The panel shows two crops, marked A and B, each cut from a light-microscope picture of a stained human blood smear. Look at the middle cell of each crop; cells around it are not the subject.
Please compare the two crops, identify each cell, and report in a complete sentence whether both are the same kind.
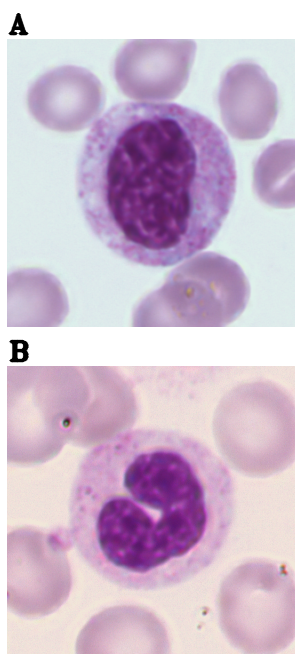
No, crop A carries a metamyelocyte and crop B carries a band neutrophil.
